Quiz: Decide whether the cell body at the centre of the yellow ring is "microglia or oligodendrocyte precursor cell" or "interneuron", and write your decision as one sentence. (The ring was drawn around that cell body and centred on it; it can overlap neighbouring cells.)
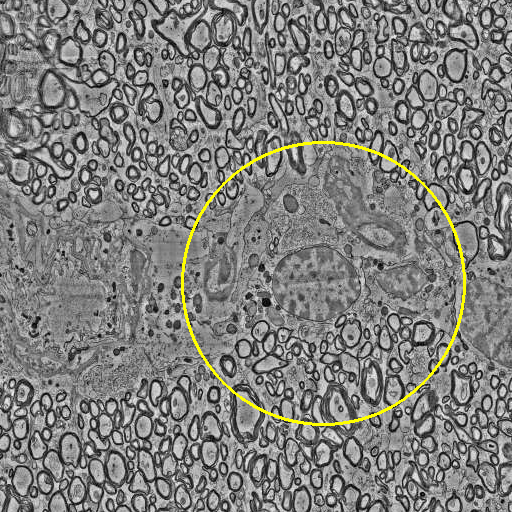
The cell the ring is centred on is a microglial cell or oligodendrocyte precursor cell.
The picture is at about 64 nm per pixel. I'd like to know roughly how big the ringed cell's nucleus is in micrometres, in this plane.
About 5 micrometres across in this plane.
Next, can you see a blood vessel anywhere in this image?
Yes, there is one.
